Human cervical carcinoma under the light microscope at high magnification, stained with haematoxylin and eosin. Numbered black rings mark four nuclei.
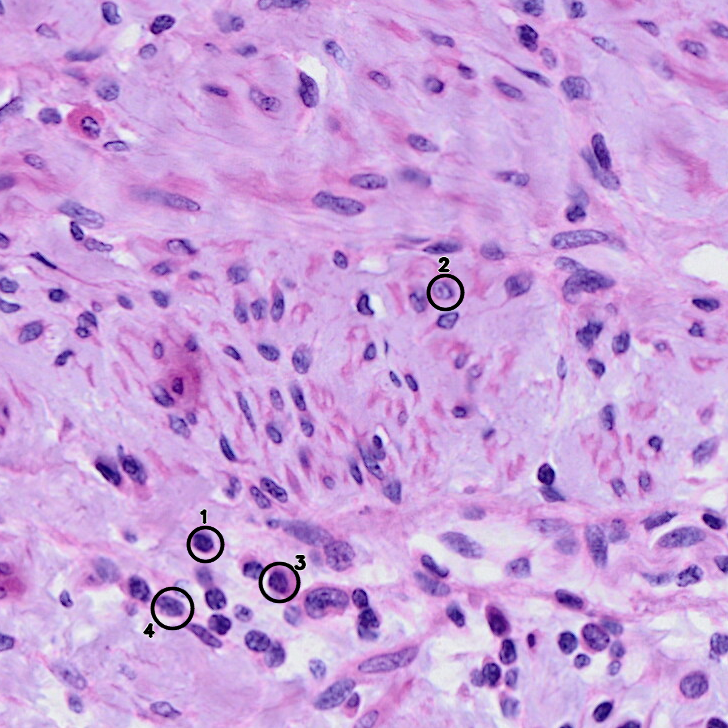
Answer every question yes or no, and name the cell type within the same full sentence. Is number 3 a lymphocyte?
Yes, the cell distinguished by number 3 is a lymphocyte.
